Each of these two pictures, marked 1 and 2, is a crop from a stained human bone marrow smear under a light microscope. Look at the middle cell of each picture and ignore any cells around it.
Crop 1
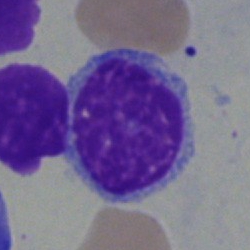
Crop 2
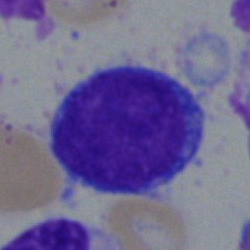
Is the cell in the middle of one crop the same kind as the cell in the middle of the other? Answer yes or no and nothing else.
yes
